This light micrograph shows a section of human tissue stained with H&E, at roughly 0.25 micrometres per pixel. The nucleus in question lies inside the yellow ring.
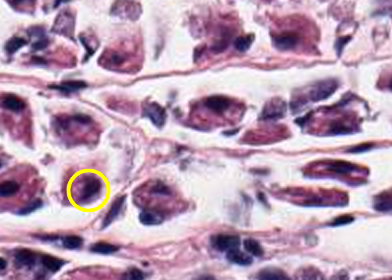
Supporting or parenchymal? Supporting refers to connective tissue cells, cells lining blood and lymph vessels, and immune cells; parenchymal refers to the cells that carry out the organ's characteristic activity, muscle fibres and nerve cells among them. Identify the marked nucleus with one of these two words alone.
parenchymal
